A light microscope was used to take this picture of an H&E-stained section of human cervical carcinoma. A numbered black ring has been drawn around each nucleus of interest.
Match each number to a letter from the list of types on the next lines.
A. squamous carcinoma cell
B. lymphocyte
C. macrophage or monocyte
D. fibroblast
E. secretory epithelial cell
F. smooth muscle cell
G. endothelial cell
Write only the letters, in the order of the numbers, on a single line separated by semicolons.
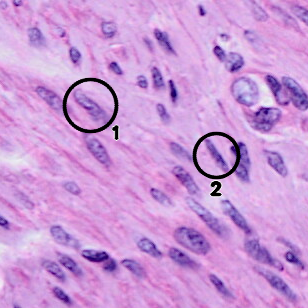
F; D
